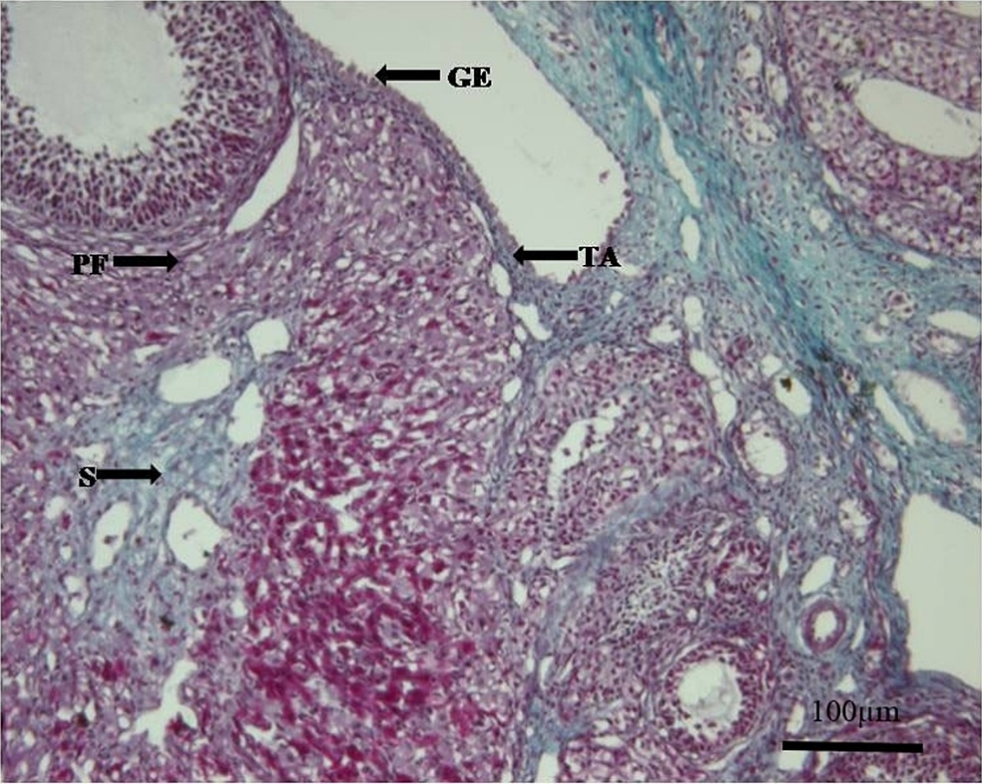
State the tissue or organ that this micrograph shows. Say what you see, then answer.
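A rounded follicle at top left has many layers of small dark-nucleated cells around a central clear space. The tissue is a cell-rich stroma with scattered vessels and follicle-like cell clusters. A thin surface layer of cells lines a free edge at the top. The answer: ovary.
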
